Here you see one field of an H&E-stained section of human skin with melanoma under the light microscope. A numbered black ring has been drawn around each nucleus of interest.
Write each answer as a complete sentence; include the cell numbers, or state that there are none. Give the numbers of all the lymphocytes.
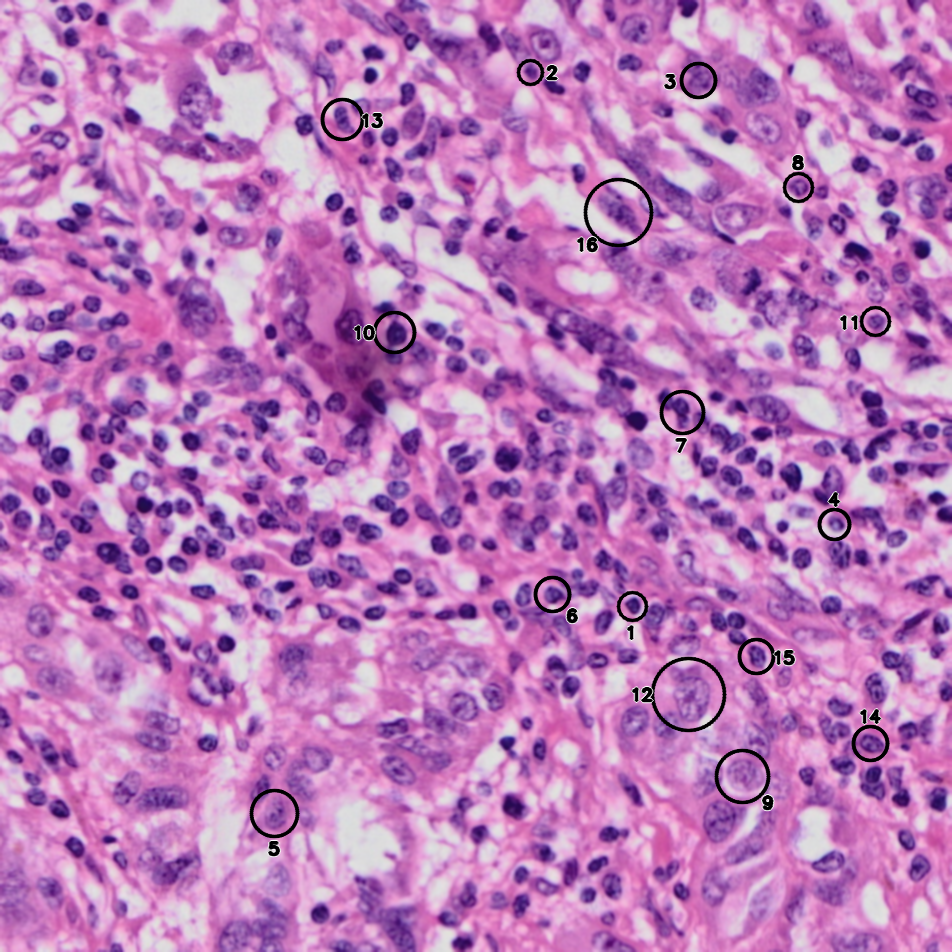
The cells numbered 1, 2, 4, 6, 7, 10, 11, 13 and 15 are typed as lymphocytes.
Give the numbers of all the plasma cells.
The cells marked with the numbers 8 and 14 are plasma cells.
